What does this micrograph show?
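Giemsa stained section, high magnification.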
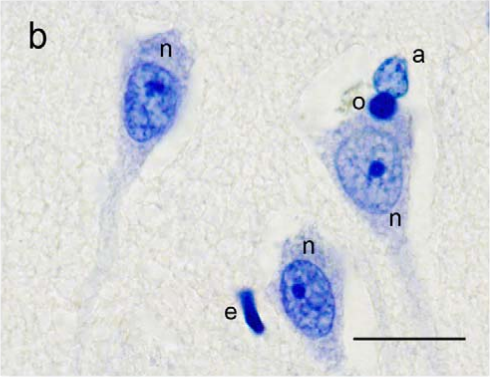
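Three large neurons are shown with blue cytoplasm, each tapering toward one pole into a process, giving a hillock-like origin. Beside the upper right neuron lie a small paler oval astrocyte nucleus and a small, round, very dark oligodendrocyte nucleus. Near the lower neuron is an elongated, curved, dark endothelial nucleus.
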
